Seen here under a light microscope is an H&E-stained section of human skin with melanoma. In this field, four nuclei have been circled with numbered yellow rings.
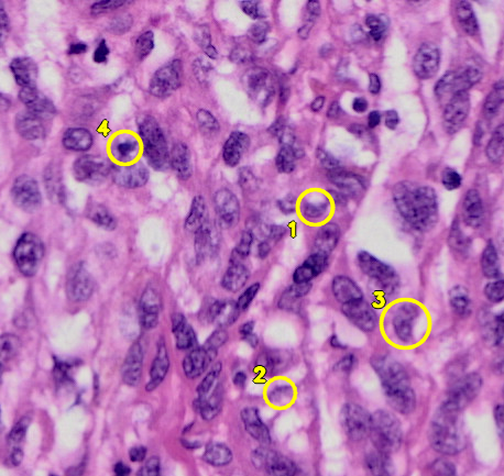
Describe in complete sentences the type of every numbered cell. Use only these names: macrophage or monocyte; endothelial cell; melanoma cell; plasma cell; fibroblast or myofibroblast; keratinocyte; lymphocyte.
Cell 1 is a melanoma cell, cell 2 is a melanoma cell, cell 3 is a melanoma cell and cell 4 is a lymphocyte.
